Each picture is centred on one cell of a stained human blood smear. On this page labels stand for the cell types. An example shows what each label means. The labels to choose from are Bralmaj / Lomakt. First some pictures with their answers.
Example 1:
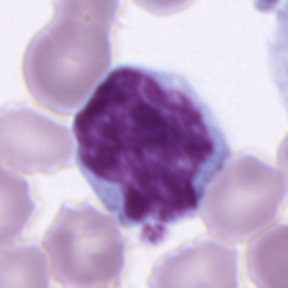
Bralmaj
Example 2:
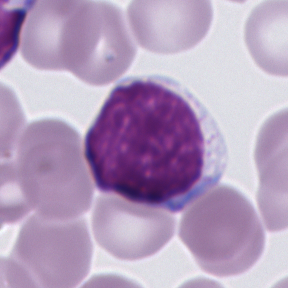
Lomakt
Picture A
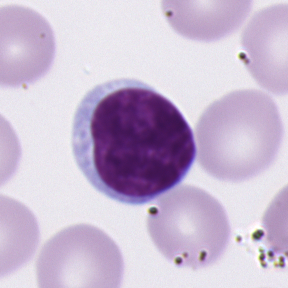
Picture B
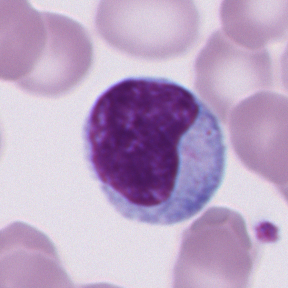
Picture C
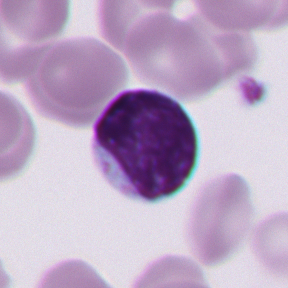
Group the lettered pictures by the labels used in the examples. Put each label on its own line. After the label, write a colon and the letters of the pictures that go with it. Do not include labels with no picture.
Bralmaj: A, B, C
